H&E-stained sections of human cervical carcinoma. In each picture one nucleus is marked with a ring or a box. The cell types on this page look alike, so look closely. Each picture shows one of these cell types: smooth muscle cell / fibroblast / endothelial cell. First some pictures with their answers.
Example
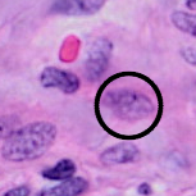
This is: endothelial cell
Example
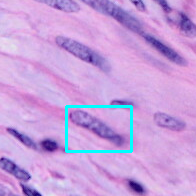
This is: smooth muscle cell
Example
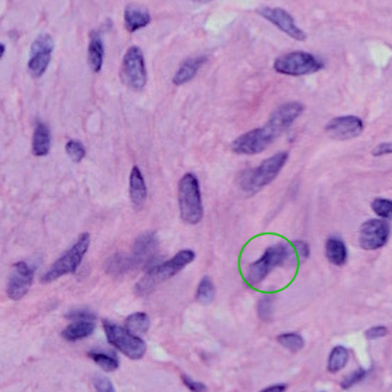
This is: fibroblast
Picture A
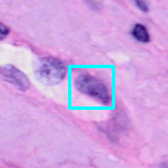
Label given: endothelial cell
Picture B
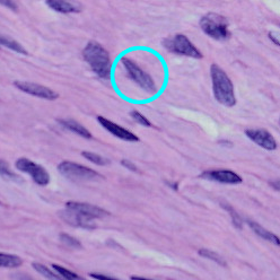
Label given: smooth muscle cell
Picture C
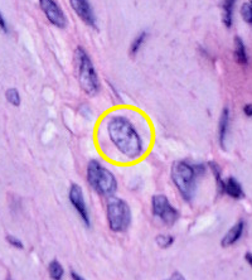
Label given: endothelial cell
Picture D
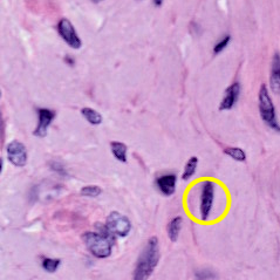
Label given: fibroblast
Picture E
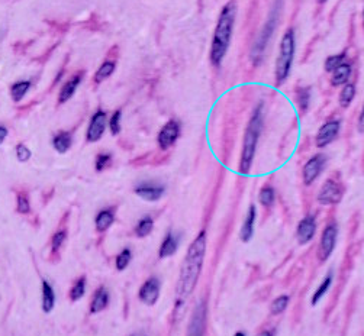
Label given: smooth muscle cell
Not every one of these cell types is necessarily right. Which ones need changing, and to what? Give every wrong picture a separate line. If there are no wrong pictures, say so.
B: fibroblast, not smooth muscle cell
